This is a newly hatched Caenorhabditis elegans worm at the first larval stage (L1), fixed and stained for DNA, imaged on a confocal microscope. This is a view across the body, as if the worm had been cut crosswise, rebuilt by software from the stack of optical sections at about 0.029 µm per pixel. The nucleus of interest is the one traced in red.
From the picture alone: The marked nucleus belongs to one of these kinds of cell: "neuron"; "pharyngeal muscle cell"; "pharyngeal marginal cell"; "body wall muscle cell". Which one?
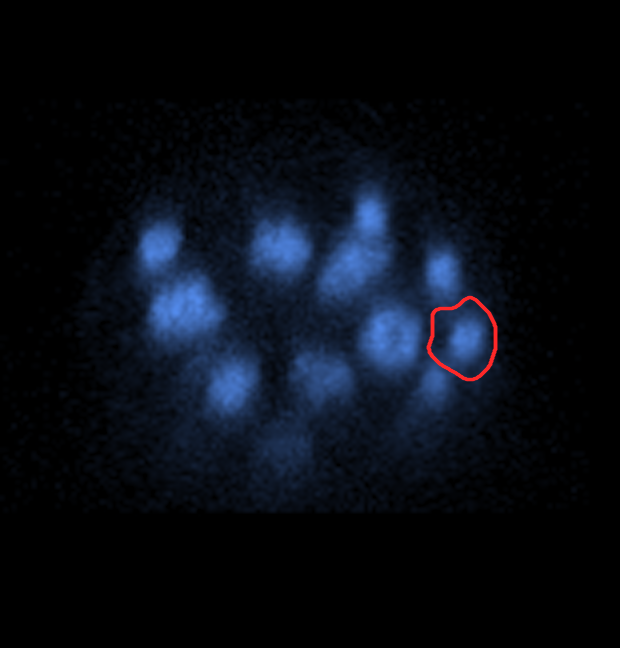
neuron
